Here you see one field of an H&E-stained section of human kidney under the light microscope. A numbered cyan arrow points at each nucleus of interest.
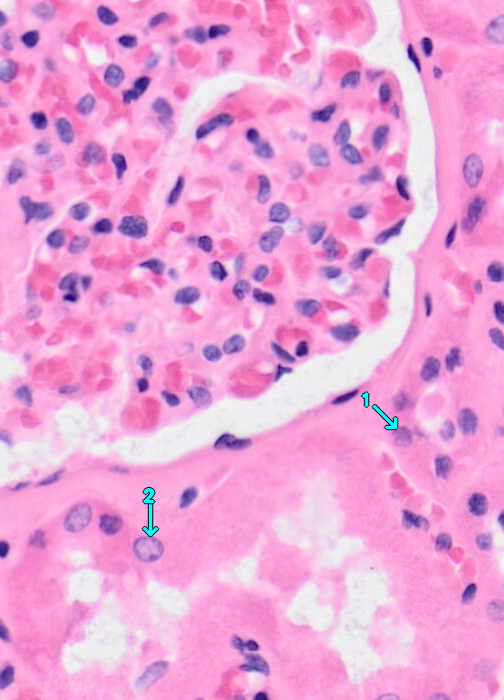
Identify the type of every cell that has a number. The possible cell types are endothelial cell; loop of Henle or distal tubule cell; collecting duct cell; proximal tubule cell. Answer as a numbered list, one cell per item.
1. loop of Henle or distal tubule cell
2. proximal tubule cell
